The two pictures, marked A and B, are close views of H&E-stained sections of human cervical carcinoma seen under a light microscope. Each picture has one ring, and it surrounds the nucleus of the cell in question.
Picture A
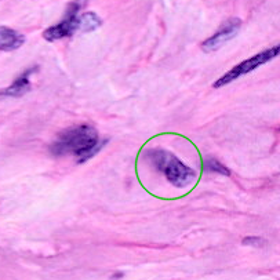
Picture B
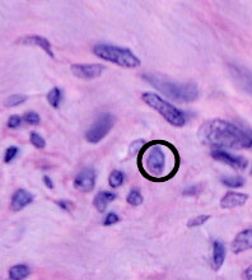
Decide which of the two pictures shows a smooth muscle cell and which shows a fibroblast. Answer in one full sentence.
Picture B shows a smooth muscle cell, while picture A shows a fibroblast.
